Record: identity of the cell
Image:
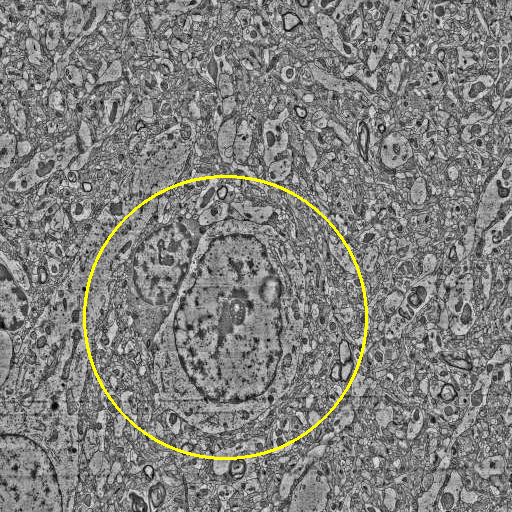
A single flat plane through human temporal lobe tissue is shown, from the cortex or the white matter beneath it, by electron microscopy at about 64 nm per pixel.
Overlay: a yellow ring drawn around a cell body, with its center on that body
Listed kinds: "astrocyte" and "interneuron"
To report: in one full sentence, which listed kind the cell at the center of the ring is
In the image, the cell body at the ring's center belongs to an interneuron.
